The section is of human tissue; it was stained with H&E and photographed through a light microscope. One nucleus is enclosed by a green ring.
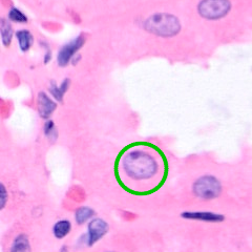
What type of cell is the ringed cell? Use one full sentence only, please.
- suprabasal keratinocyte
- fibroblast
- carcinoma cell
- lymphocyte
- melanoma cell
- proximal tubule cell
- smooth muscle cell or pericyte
Speaking plainly, the ringed cell is nothing other than a proximal tubule cell.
